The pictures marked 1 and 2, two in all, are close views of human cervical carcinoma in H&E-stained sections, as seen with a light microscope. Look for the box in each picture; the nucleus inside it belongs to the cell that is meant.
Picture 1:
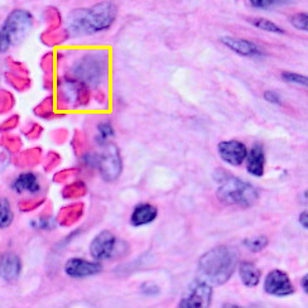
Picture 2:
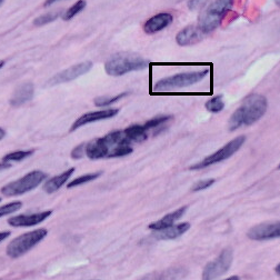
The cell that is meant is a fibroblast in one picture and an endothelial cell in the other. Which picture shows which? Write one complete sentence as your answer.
Picture 1 is of an endothelial cell, and picture 2 is of a fibroblast.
